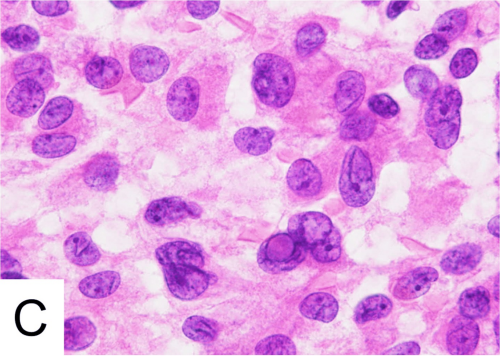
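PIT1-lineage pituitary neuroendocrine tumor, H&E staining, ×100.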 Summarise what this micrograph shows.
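The nuclei are round to oval and vary somewhat in size, with finely granular chromatin and small nucleoli. Several nuclei have irregular contours with folds or notches. Near the centre one nucleus contains a sharply bordered round pink body, a pseudonuclear inclusion of cytoplasm. The cytoplasm is pale pink and poorly bordered, and the background shows small clear vacuoles.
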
